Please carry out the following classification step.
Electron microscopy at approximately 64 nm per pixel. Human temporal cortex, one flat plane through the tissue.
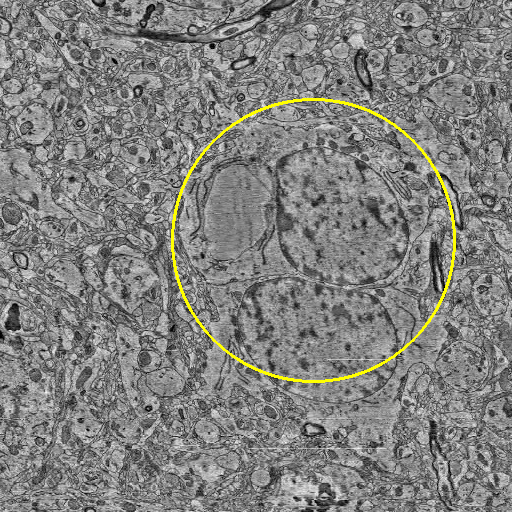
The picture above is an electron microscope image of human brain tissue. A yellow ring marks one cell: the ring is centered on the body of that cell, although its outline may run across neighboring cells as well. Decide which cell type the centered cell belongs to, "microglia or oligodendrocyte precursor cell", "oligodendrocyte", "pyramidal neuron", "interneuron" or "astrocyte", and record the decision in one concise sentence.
The cell centered in the yellow ring is an astrocyte.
